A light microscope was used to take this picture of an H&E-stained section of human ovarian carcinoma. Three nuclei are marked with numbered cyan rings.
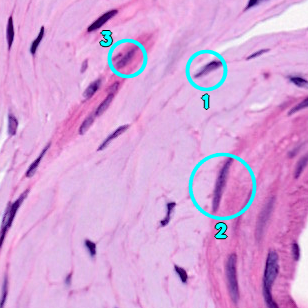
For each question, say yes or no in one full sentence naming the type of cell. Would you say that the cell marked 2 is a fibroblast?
No, the cell identified by number 2 is a smooth muscle cell, not a fibroblast.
